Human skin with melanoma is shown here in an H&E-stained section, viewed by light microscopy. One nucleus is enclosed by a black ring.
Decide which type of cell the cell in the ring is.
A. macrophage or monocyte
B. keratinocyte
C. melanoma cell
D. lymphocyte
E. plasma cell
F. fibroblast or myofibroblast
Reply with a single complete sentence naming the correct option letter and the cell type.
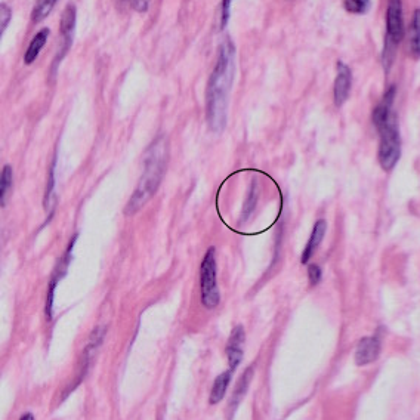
Of the options given, F is right: the cell in the ring is a fibroblast or myofibroblast.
